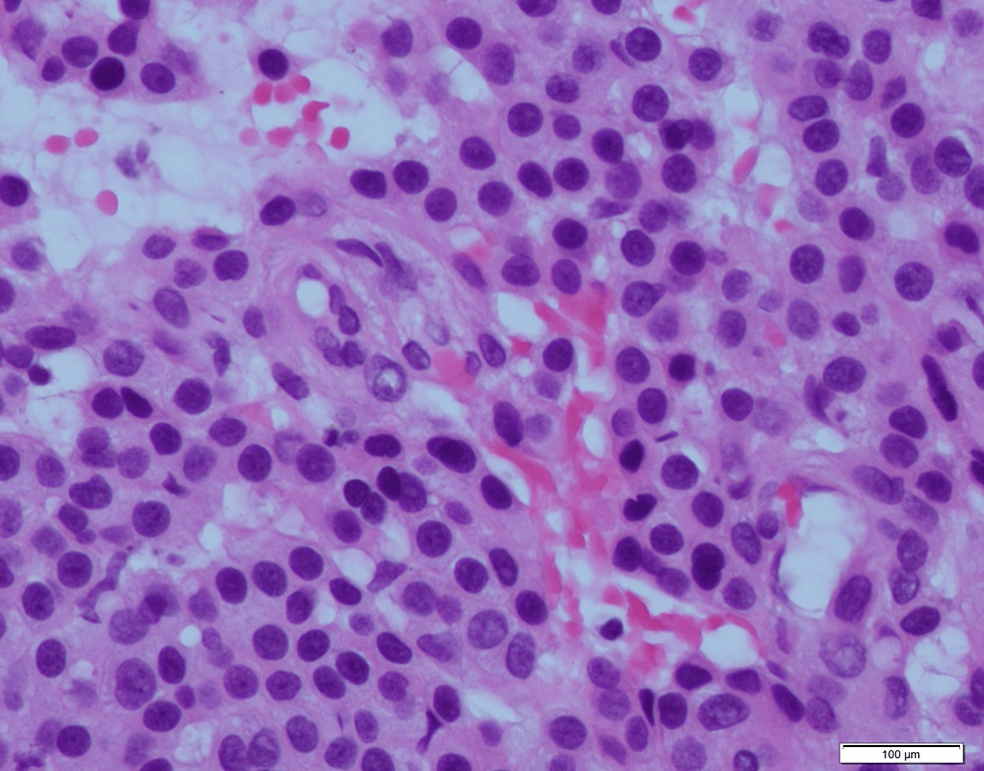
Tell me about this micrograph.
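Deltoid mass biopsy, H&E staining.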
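Sheets of closely packed, uniform tumor cells surround small vessels that hold red blood cells. Pale, clear spaces and thin pink strands lie between the cell groups. This monotonous round-cell pattern around vessels fits a glomus tumor.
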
